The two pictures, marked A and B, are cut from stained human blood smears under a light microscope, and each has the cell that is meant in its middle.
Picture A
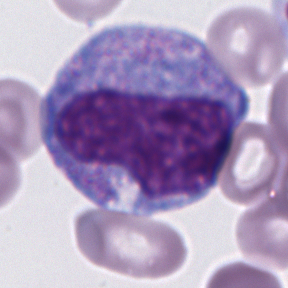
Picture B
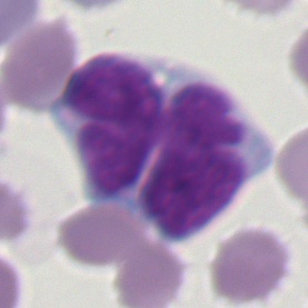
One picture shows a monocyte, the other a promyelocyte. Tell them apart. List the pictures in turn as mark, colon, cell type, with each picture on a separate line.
A: promyelocyte
B: monocyte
